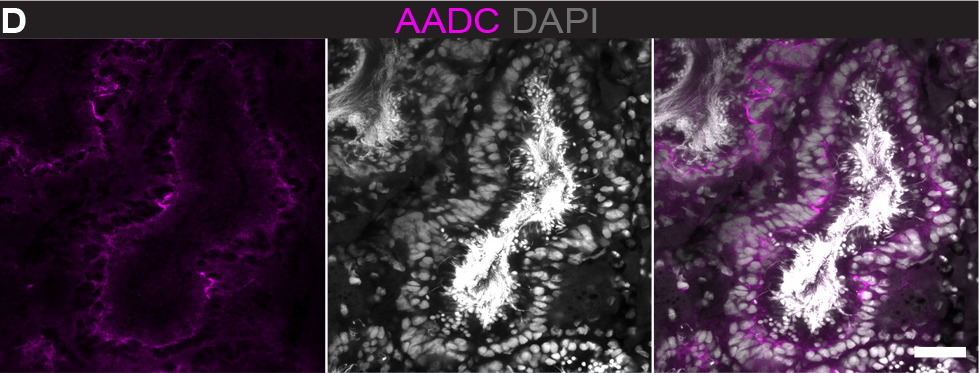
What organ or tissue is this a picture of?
Testes.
